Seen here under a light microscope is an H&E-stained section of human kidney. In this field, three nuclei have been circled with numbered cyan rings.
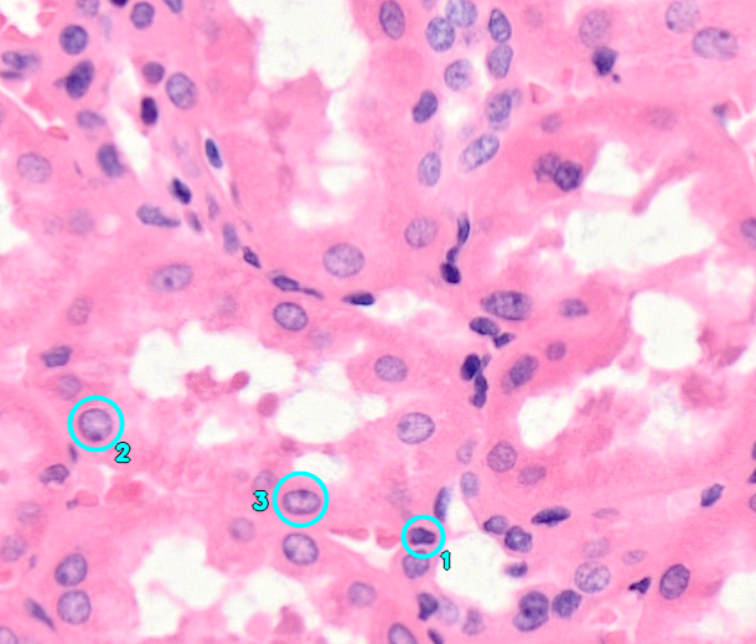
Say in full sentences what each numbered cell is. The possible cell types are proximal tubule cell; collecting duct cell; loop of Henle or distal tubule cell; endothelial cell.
Cell 1 is a collecting duct cell, cell 2 is a proximal tubule cell and cell 3 is a proximal tubule cell.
